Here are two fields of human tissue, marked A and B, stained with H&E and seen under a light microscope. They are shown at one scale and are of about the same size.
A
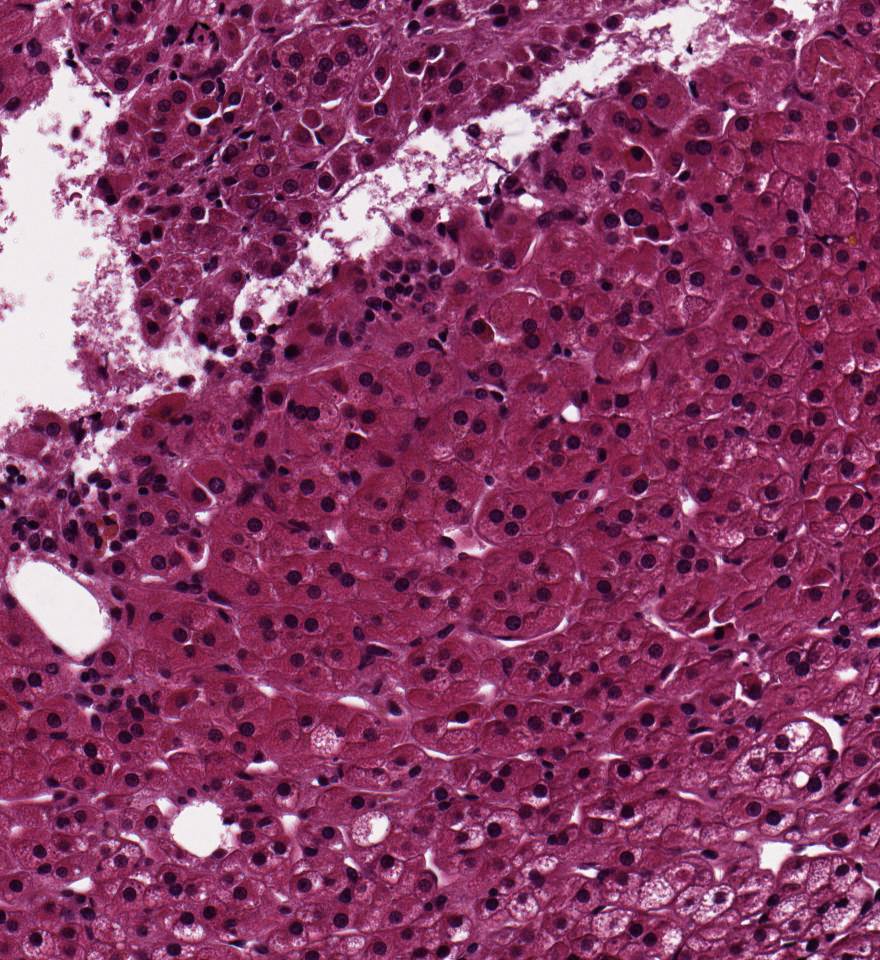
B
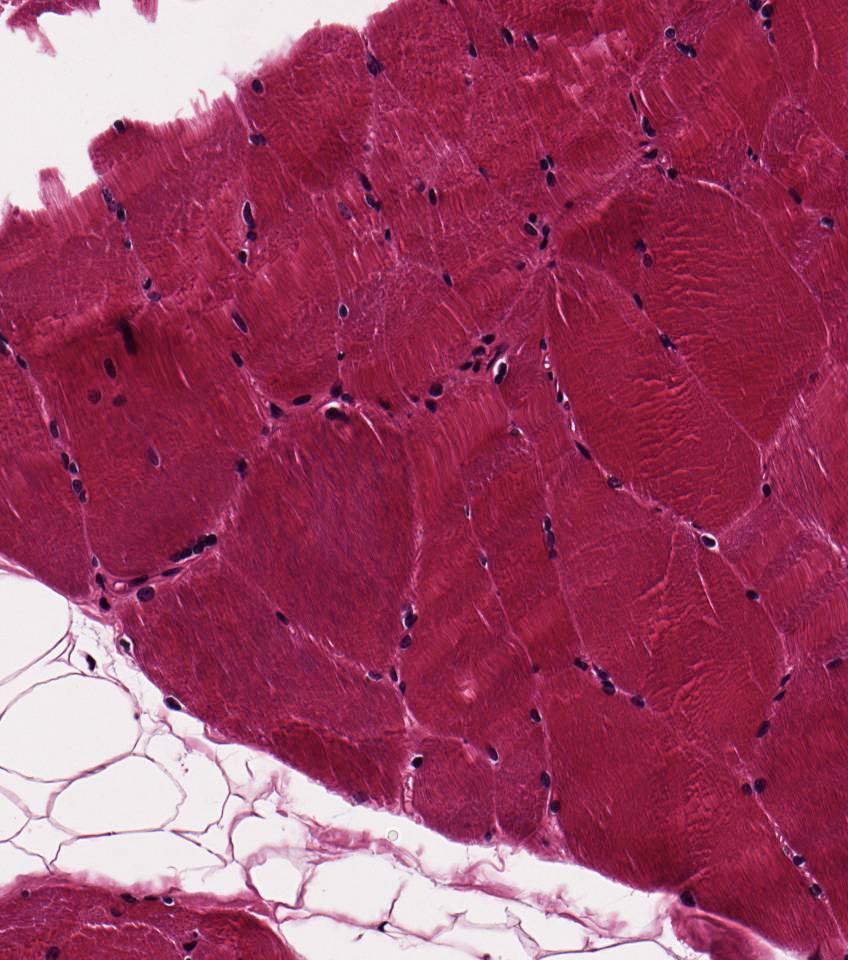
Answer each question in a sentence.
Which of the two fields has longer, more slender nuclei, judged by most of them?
The nuclei are more elongated in field B.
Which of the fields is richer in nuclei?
More nuclei lie in field A than in field B.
